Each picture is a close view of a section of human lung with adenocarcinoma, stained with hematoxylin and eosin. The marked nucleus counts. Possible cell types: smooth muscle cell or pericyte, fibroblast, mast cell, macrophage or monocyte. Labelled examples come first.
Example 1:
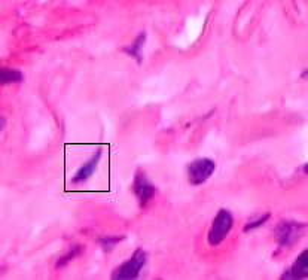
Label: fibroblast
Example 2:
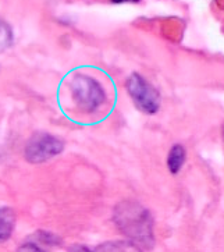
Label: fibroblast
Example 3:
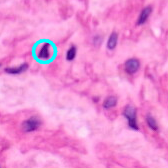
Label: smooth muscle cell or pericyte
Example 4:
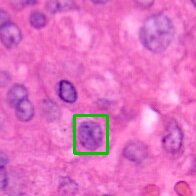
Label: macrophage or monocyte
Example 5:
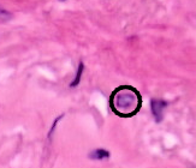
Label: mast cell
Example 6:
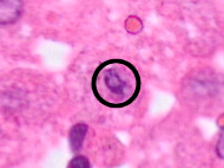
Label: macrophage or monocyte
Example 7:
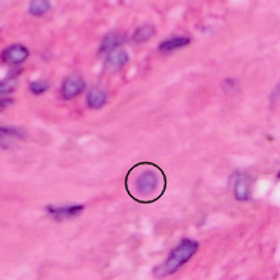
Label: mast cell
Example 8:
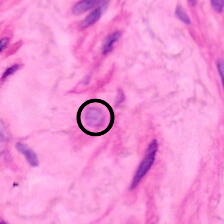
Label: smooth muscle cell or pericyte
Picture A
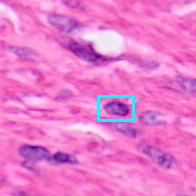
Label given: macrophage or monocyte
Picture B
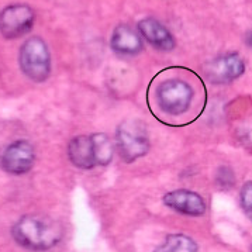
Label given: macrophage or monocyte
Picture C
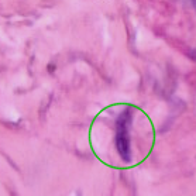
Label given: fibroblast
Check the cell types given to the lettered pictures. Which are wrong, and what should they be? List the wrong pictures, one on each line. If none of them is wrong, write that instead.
A: not macrophage or monocyte but mast cell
